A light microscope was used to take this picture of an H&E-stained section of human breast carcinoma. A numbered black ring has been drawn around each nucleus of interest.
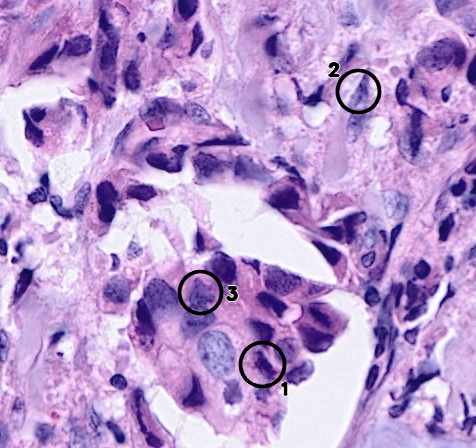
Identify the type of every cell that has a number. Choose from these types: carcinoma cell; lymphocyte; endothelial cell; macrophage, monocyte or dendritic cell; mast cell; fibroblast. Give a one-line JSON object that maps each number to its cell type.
{"1": "carcinoma cell", "2": "fibroblast", "3": "carcinoma cell"}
